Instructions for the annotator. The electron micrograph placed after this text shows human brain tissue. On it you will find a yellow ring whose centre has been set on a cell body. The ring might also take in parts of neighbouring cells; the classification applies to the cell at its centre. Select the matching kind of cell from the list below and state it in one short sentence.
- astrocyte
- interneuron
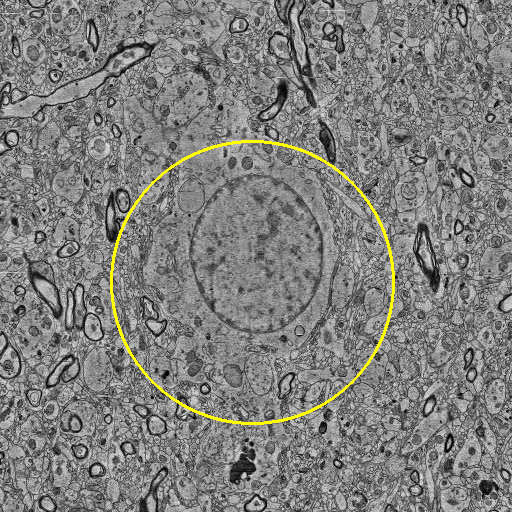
The ring is drawn on the cell body of an astrocyte.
